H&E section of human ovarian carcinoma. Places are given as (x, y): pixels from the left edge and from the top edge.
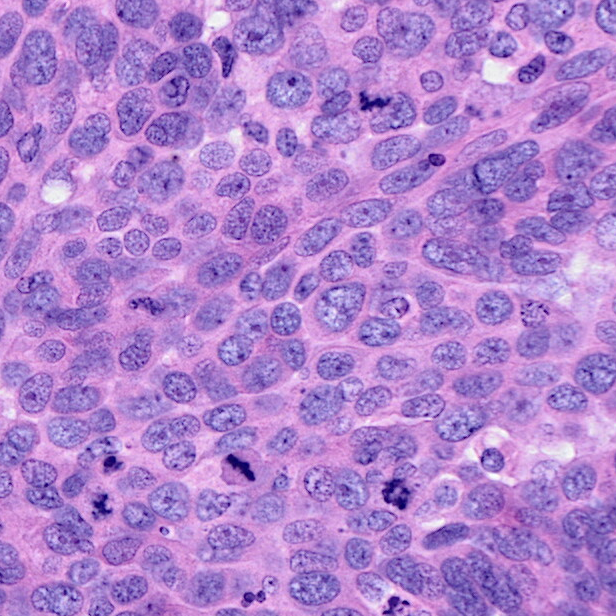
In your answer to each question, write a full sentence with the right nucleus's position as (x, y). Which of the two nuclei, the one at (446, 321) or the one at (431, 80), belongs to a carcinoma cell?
The nucleus situated at (446, 321) is the one belonging to a carcinoma cell.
